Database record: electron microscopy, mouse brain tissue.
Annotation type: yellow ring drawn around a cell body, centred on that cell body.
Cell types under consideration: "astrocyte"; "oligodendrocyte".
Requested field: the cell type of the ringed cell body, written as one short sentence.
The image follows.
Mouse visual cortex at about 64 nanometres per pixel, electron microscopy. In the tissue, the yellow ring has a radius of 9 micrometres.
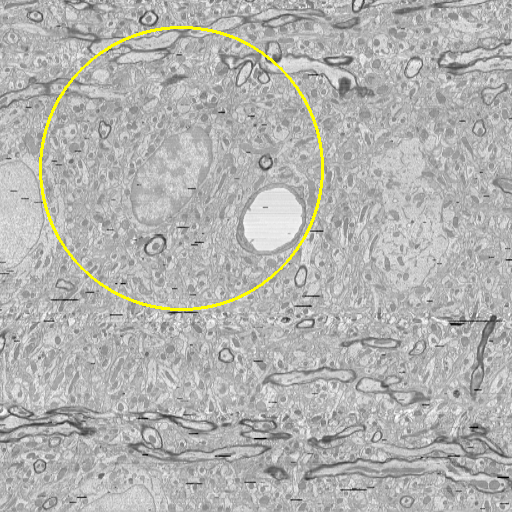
The ringed cell body represents an oligodendrocyte.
